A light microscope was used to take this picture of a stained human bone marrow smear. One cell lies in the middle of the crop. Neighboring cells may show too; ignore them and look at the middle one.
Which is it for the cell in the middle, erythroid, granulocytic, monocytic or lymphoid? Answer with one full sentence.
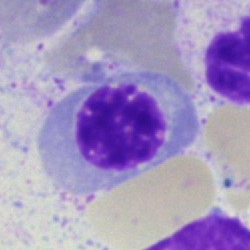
The cell held in the center of the crop belongs to the erythroid lineage.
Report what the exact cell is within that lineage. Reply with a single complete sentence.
This crop is built around an erythroblast at its centre.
